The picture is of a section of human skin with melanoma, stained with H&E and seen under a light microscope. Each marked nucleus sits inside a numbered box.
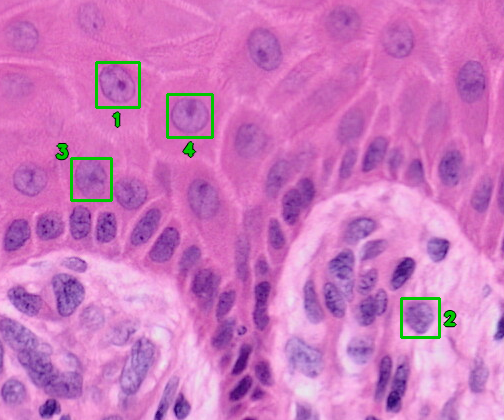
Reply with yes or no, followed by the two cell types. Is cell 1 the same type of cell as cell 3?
Yes, it is as keratinocytes that cells 1 and 3 are both classified.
